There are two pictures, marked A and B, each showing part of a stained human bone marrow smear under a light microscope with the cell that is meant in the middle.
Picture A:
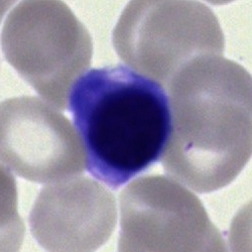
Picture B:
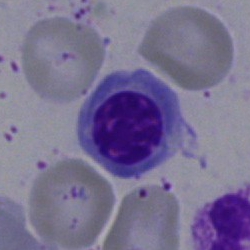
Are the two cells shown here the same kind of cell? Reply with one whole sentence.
Yes, both cells are erythroblasts.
